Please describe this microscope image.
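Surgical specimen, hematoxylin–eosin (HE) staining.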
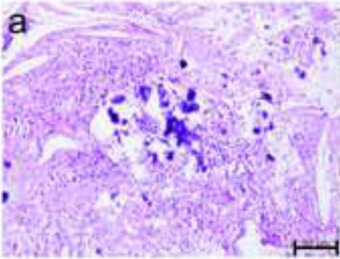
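Low-power view of a lesion with a central cluster of dark purple amorphous calcified deposits. These lie within pale pink eosinophilic matrix with scattered small nuclei and clear cleft-like spaces.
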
